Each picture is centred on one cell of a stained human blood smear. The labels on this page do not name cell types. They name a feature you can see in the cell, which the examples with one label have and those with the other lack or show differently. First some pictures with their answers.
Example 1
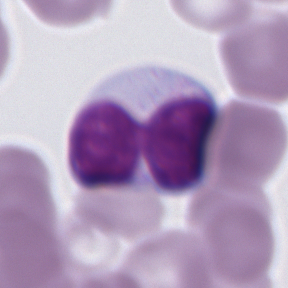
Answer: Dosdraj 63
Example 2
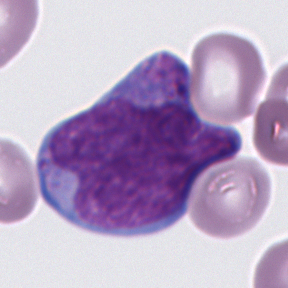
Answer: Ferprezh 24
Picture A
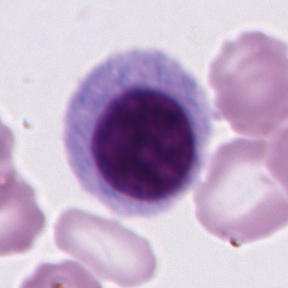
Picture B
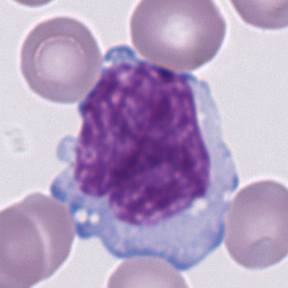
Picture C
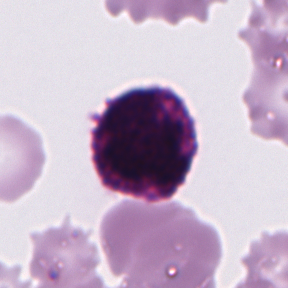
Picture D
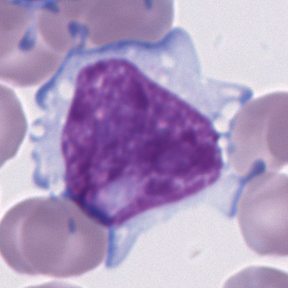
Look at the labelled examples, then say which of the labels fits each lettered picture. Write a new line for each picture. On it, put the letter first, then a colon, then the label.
A: Dosdraj 63
B: Ferprezh 24
C: Ferprezh 24
D: Ferprezh 24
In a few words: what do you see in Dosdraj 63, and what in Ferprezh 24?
Dosdraj 63, smooth outline; Ferprezh 24, ragged outline or projections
